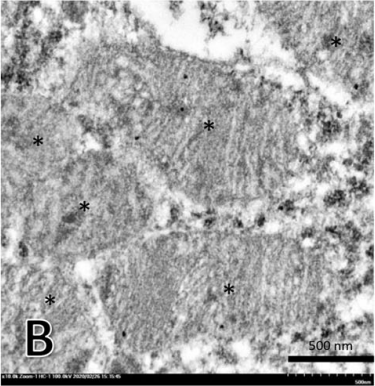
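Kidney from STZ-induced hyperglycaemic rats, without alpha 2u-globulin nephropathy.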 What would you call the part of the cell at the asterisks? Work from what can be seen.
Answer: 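Mitochondria. Elongated organelles with closely packed parallel internal membranes.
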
